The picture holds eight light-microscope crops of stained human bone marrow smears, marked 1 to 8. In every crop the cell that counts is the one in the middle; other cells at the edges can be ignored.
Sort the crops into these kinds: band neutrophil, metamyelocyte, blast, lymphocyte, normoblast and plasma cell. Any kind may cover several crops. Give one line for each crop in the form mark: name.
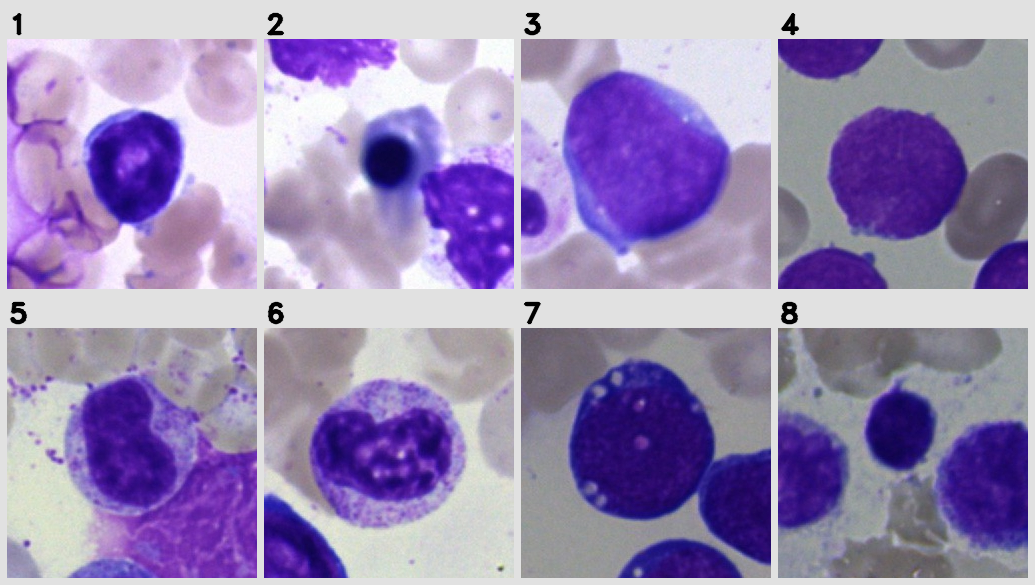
1: lymphocyte
2: normoblast
3: blast
4: blast
5: metamyelocyte
6: metamyelocyte
7: blast
8: lymphocyte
